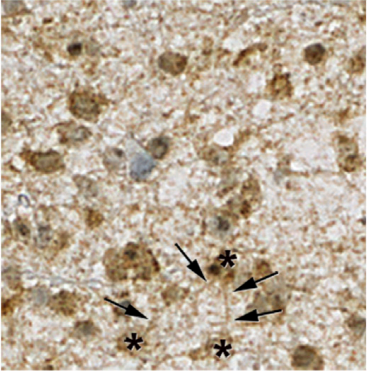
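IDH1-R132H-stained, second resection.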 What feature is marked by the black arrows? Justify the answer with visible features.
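Tumor microtube. Arrows point to faint thin brown threads near brown-stained cells.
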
